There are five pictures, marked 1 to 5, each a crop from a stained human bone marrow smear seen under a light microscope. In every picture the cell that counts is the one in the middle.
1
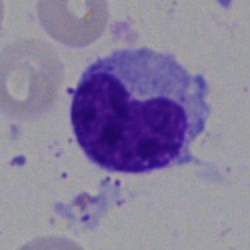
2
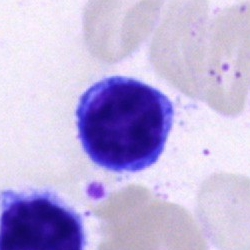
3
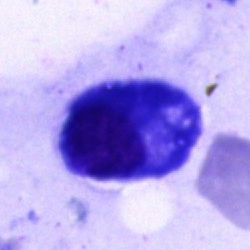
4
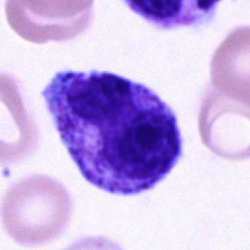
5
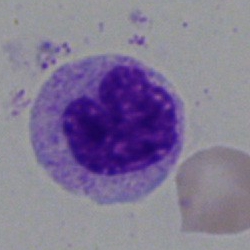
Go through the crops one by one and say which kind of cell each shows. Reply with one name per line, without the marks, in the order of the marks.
metamyelocyte
lymphocyte
plasma cell
metamyelocyte
metamyelocyte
